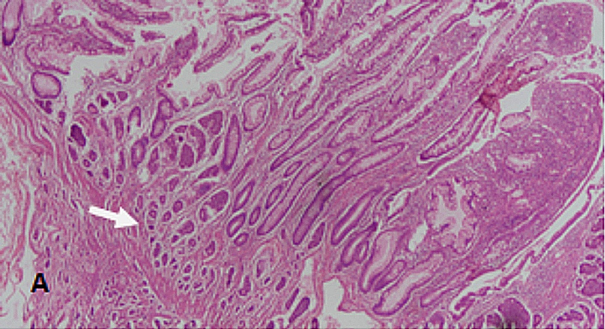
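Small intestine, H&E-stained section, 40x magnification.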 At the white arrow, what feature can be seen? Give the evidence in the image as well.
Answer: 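Small rounded groups of dark purple cells lie in the deeper part of the section, below the elongated mucosal glands. The groups are separated by pink fibrous stroma. That points to this answer: nests and clusters of tumor cells.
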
